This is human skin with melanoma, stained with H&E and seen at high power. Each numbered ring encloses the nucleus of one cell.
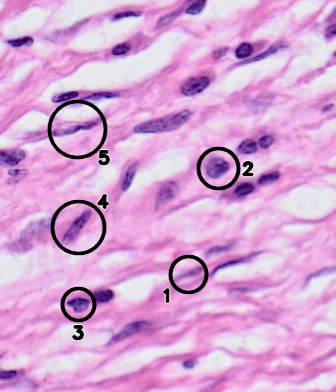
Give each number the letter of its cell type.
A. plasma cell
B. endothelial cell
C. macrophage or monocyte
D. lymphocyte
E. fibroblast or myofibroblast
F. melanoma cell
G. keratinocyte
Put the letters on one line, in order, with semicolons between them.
E; D; D; C; E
